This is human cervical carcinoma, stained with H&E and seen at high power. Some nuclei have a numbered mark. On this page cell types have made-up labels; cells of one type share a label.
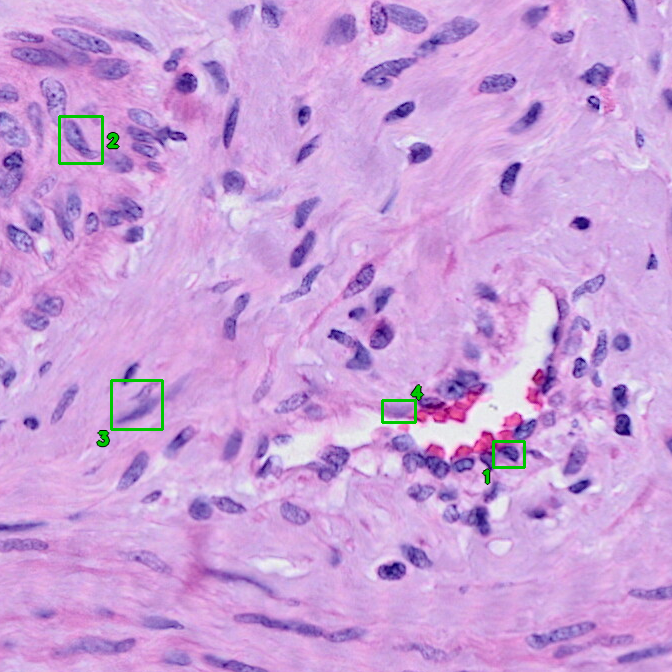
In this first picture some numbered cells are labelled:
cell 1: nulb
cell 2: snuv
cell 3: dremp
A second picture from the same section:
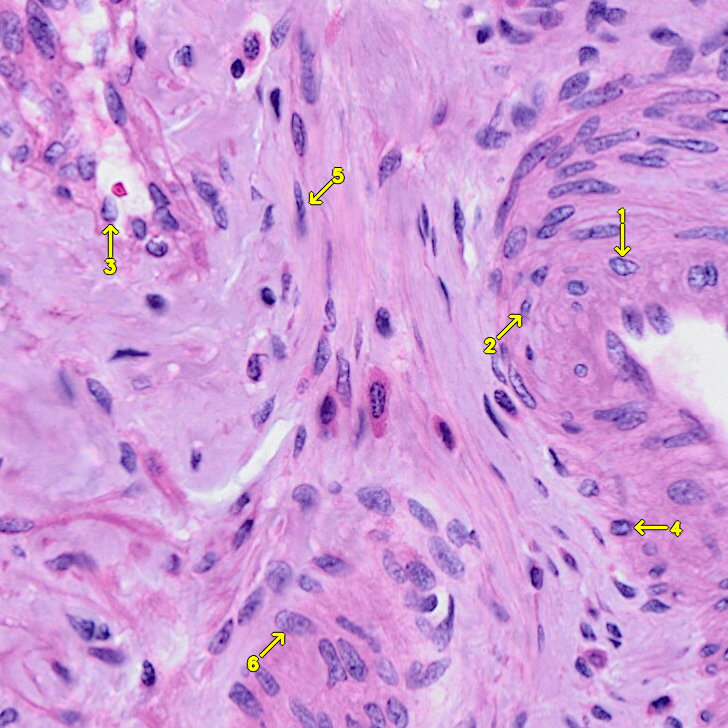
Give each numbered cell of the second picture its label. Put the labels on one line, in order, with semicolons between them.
snuv; snuv; nulb; snuv; dremp; snuv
